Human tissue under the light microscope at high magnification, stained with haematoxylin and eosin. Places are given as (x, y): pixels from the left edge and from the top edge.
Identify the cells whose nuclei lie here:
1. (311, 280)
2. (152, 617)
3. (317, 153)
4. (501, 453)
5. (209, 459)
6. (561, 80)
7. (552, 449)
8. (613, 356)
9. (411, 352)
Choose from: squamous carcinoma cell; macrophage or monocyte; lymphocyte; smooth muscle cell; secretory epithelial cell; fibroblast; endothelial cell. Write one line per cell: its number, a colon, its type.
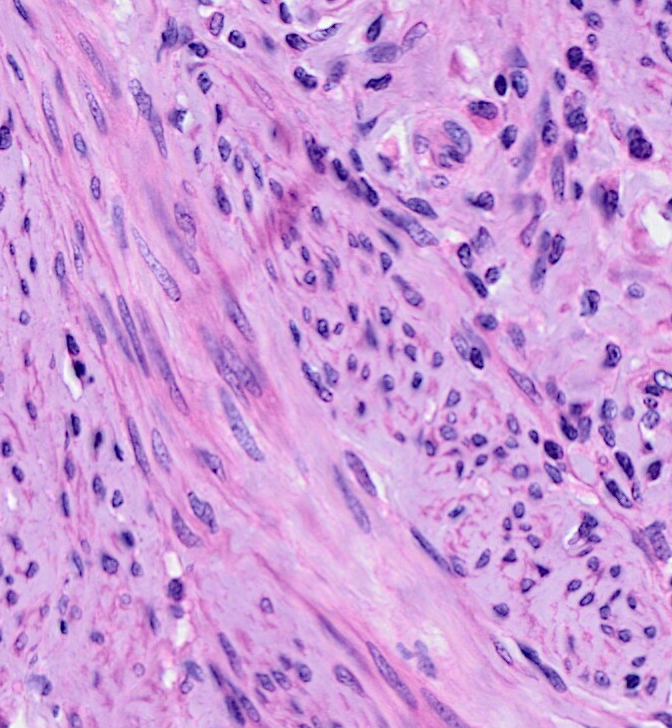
1: smooth muscle cell
2: smooth muscle cell
3: lymphocyte
4: smooth muscle cell
5: smooth muscle cell
6: lymphocyte
7: lymphocyte
8: lymphocyte
9: smooth muscle cell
